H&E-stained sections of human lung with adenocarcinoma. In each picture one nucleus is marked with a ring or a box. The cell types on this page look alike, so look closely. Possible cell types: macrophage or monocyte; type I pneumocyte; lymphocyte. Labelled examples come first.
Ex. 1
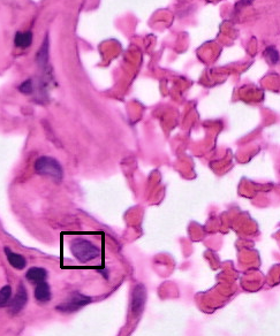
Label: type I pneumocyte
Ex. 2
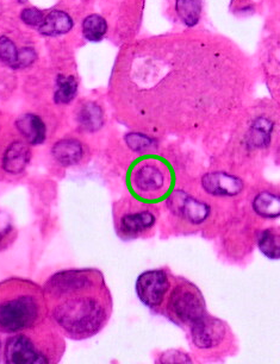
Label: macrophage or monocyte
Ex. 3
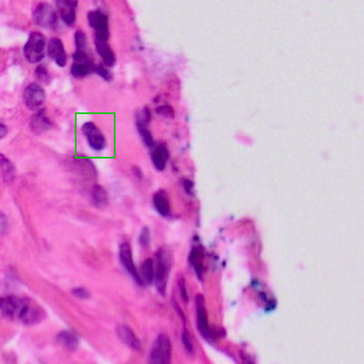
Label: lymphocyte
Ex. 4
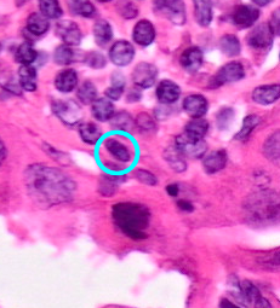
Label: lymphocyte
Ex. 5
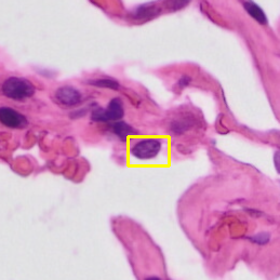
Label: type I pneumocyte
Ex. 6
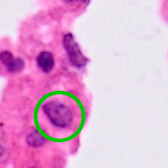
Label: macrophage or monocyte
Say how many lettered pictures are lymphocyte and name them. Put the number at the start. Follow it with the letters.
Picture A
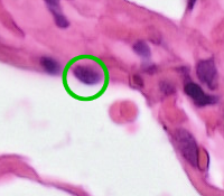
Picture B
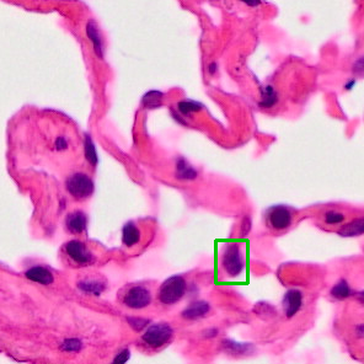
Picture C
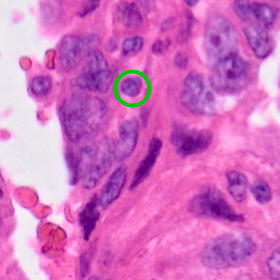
1, namely C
